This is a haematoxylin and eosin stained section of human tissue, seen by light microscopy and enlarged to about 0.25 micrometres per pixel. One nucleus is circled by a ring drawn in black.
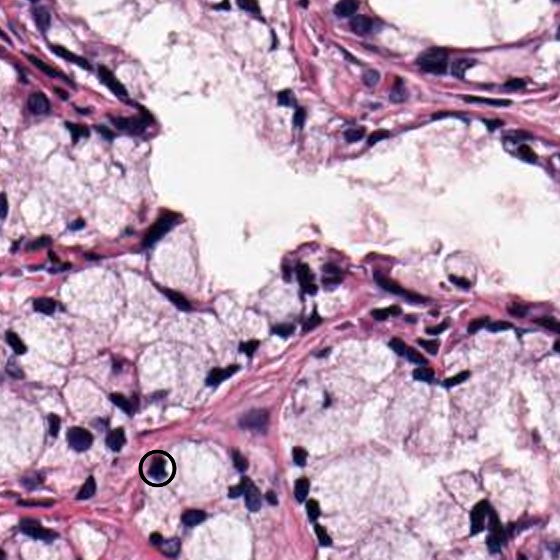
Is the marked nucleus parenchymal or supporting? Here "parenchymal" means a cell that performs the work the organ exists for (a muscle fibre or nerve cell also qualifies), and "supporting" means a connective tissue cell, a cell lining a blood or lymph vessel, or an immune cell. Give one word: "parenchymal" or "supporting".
parenchymal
